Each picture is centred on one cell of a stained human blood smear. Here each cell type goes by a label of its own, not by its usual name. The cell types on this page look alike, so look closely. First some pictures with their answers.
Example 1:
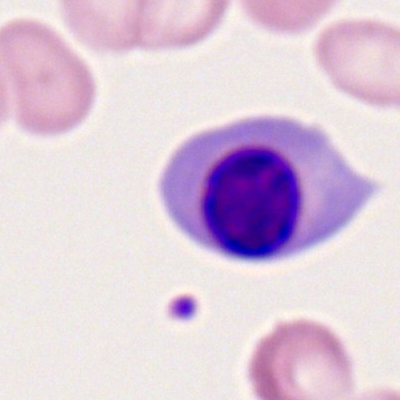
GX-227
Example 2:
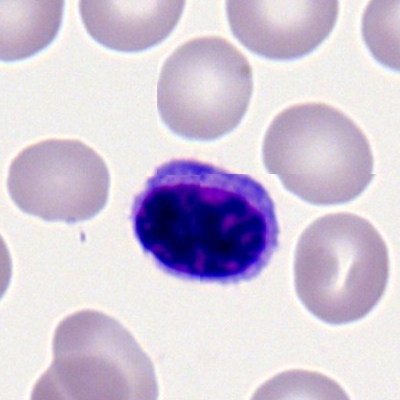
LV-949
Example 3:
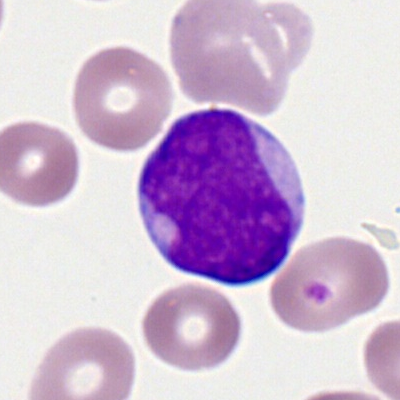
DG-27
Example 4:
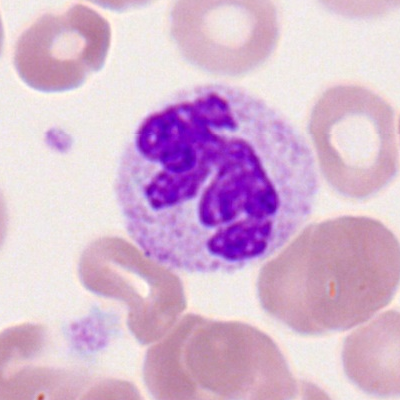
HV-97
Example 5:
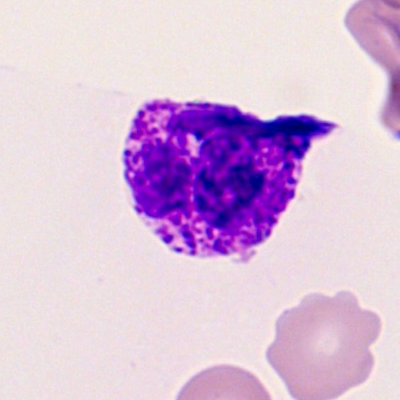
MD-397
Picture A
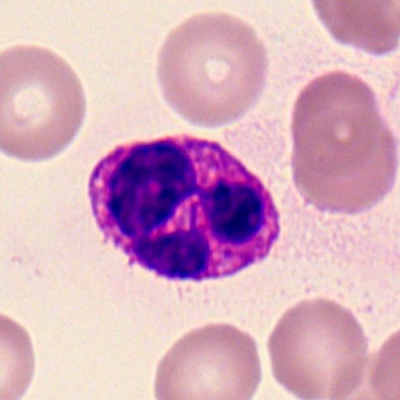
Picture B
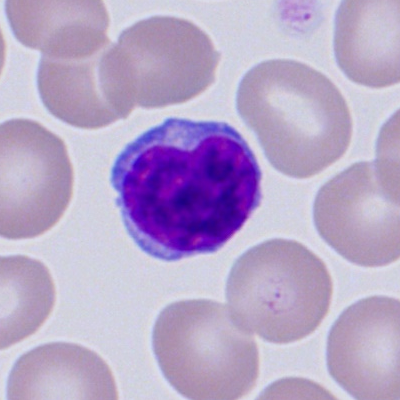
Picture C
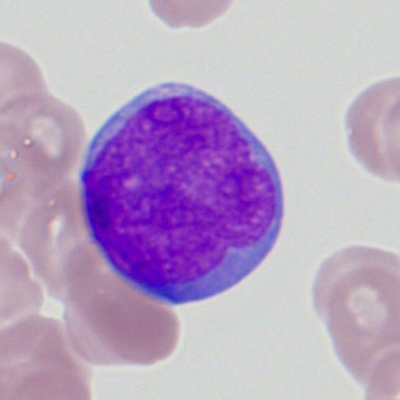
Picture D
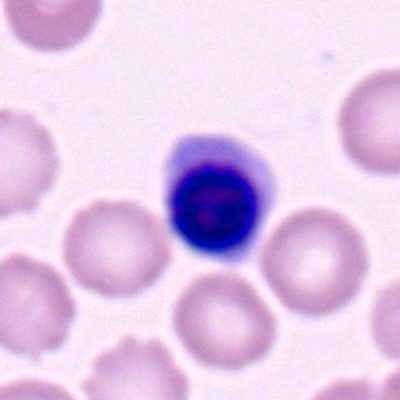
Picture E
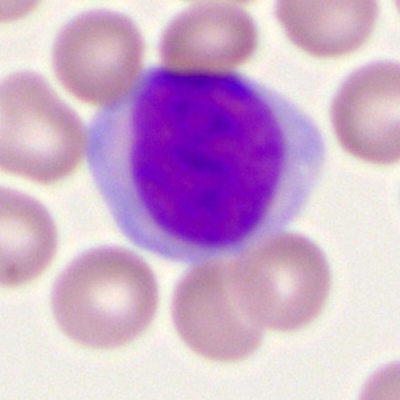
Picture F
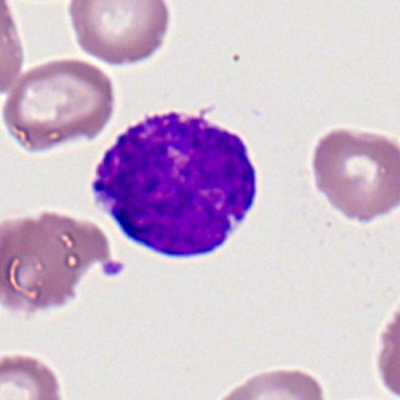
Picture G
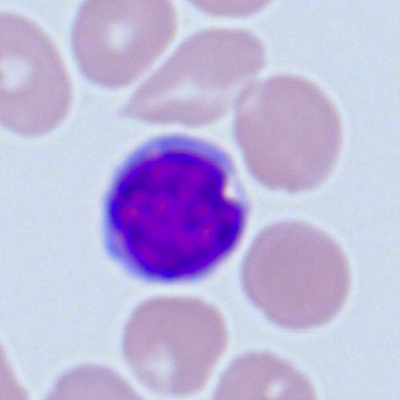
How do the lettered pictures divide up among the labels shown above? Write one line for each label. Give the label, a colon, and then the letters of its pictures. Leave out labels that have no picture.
GX-227: D
LV-949: B, G
DG-27: C, E
MD-397: A, F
